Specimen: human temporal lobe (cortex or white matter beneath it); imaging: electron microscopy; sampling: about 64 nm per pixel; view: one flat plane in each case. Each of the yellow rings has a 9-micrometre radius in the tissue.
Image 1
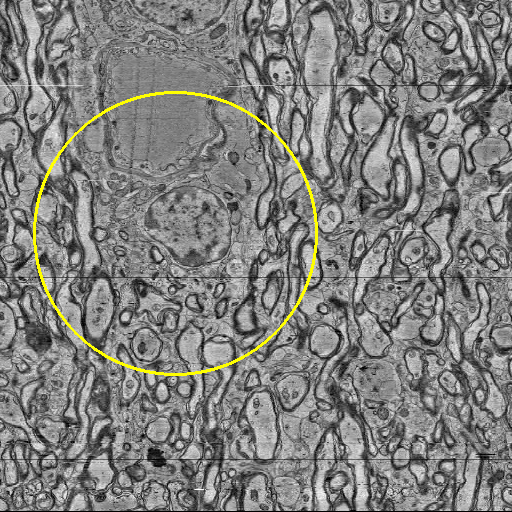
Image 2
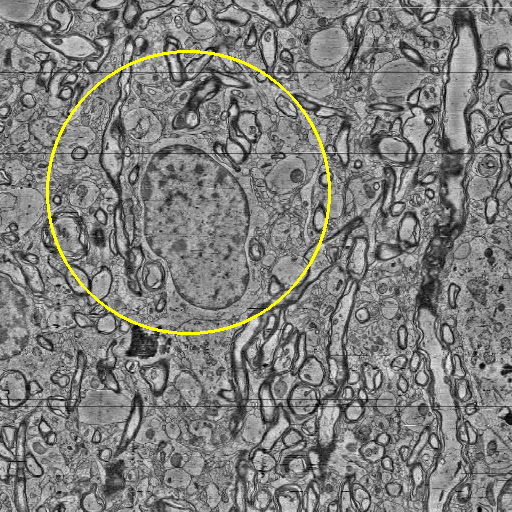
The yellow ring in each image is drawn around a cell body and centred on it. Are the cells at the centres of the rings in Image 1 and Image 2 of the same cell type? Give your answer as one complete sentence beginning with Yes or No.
Yes, both cells are of the same type.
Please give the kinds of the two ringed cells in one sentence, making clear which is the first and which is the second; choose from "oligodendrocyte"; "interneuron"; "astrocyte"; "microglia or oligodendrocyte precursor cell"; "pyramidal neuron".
The cell at the ring centre is a microglial cell or oligodendrocyte precursor cell in both pictures.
